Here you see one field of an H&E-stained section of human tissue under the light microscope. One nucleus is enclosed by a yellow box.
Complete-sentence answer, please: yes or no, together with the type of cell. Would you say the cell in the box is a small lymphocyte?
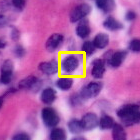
Yes, as far as cell type goes, the cell in the box is a small lymphocyte.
